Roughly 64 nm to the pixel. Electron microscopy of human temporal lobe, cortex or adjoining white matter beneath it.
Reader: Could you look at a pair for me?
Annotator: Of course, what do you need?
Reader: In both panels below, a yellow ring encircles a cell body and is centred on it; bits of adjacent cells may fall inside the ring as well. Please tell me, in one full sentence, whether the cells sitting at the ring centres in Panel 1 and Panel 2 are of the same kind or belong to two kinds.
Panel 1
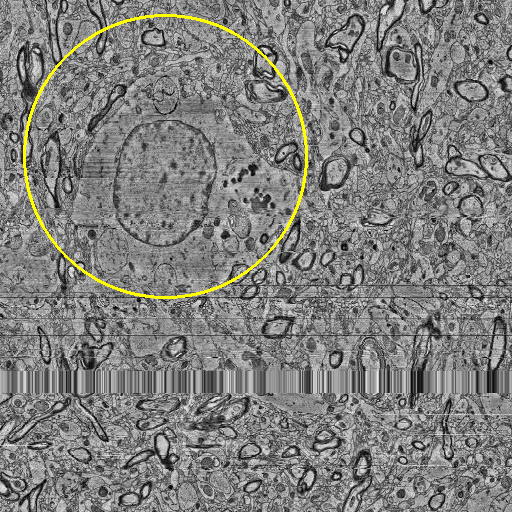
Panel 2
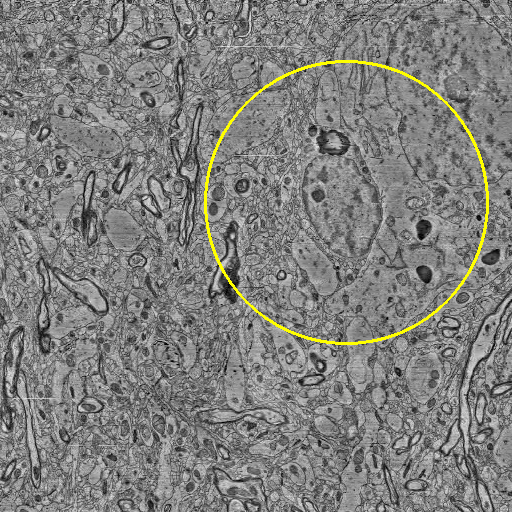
The cell at the ring's centre in Panel 1 and the one in Panel 2 belong to two kinds.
